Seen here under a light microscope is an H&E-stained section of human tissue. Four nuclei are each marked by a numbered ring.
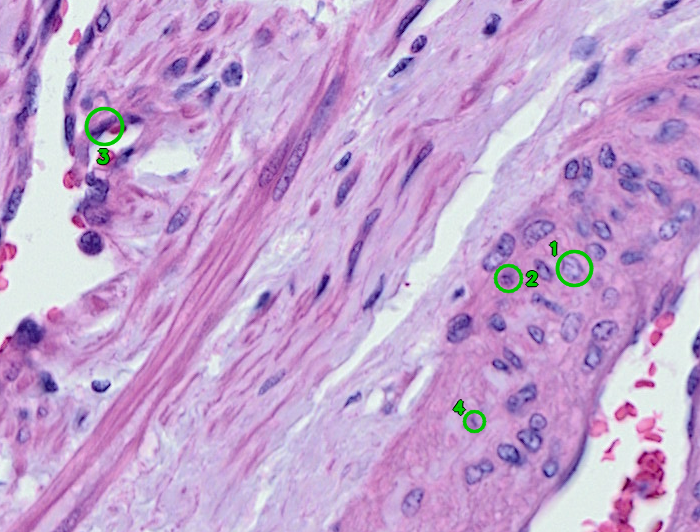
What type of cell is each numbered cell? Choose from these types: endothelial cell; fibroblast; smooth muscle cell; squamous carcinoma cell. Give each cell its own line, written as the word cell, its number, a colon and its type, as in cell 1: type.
cell 1: smooth muscle cell
cell 2: smooth muscle cell
cell 3: endothelial cell
cell 4: smooth muscle cell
